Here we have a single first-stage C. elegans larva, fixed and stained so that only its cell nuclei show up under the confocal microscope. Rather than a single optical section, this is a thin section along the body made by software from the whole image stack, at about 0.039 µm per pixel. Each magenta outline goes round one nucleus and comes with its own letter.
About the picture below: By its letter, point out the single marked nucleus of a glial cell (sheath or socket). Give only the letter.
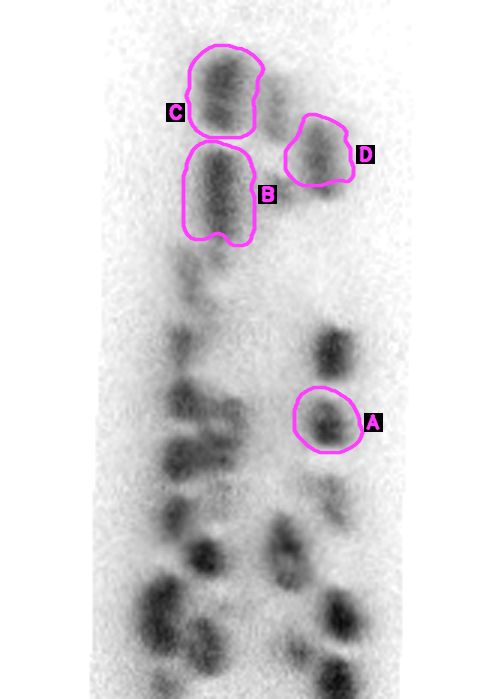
A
